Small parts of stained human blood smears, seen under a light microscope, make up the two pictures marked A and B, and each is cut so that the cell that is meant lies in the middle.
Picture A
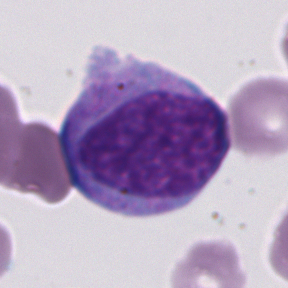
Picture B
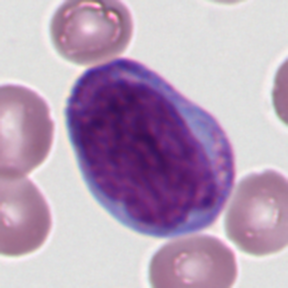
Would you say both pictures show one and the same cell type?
yes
